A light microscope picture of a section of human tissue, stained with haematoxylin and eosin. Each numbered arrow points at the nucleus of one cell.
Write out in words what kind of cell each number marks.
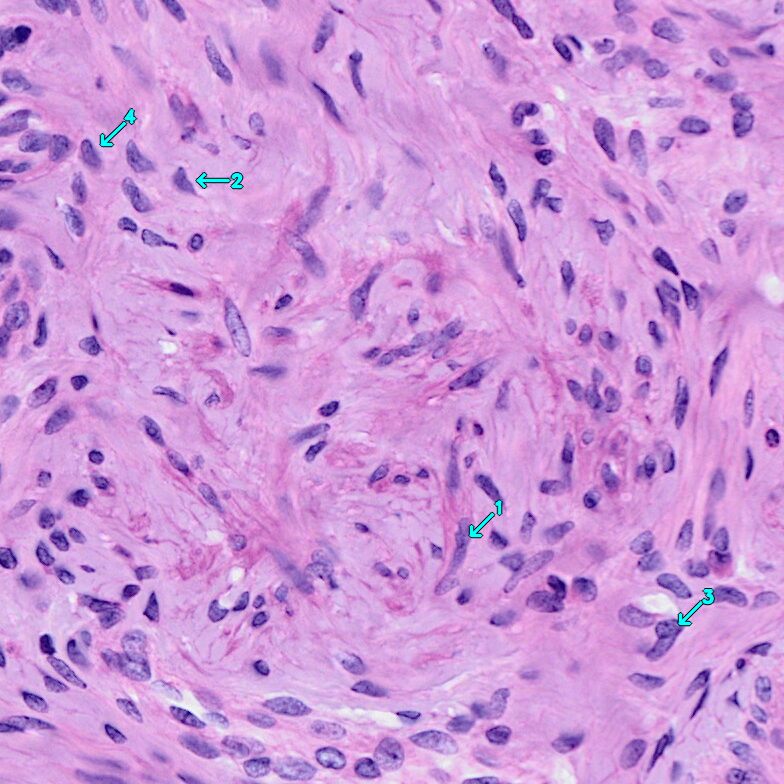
Cell 1 is a smooth muscle cell. Cells 2, 3 and 4 are fibroblasts.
